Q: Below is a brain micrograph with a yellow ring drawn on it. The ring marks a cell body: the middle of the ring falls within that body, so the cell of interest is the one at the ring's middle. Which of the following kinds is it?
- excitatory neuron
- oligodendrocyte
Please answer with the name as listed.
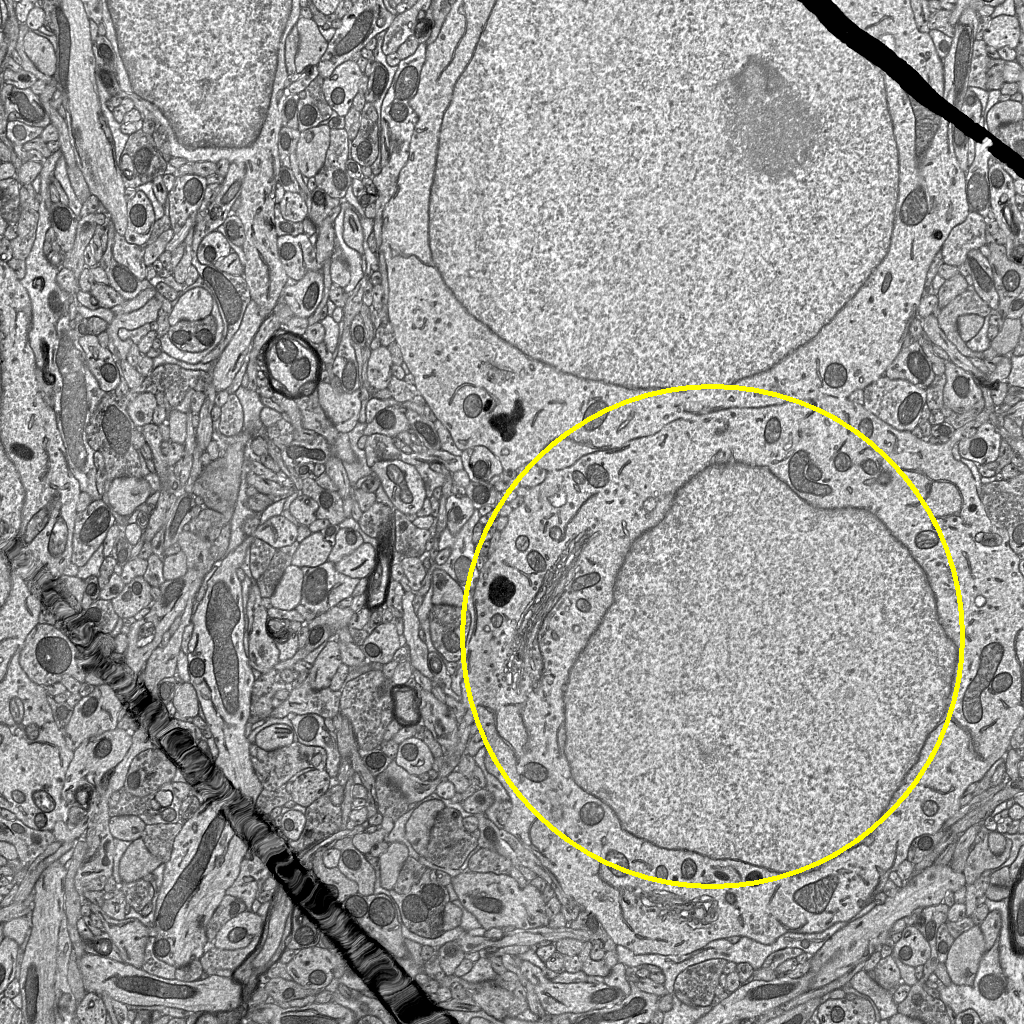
excitatory neuron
